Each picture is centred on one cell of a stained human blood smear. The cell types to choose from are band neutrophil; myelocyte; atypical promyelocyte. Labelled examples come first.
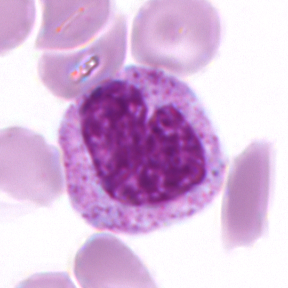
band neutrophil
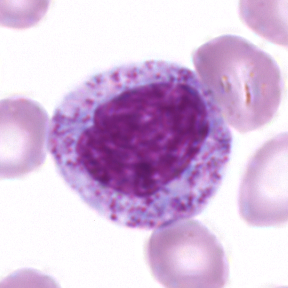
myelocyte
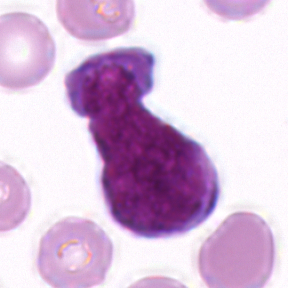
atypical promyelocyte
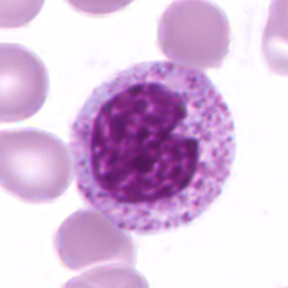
band neutrophil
